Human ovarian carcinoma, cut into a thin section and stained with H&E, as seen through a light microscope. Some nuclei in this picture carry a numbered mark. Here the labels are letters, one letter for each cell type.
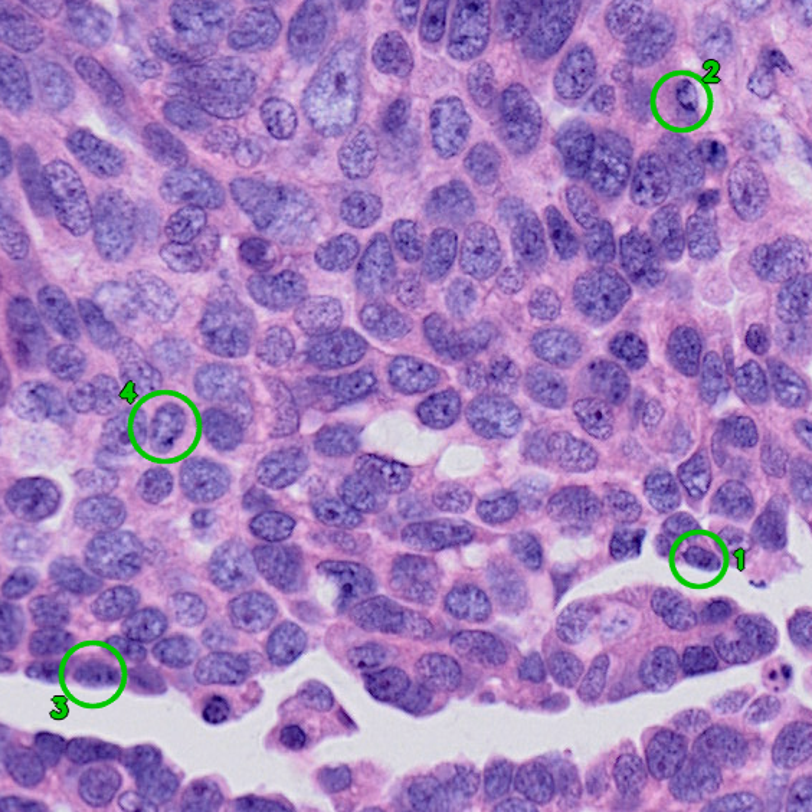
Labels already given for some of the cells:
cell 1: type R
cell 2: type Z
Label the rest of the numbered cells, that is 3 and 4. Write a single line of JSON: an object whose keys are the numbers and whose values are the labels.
{"3": "type R", "4": "type Z"}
